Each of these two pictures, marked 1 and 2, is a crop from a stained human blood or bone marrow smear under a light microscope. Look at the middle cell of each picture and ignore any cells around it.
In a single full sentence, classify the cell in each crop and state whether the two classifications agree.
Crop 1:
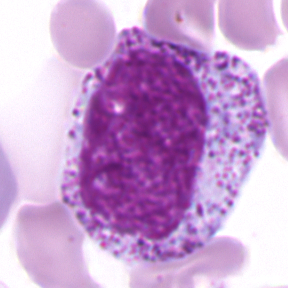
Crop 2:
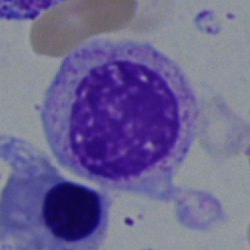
Yes, the cells at the centre of both crops are myelocytes.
